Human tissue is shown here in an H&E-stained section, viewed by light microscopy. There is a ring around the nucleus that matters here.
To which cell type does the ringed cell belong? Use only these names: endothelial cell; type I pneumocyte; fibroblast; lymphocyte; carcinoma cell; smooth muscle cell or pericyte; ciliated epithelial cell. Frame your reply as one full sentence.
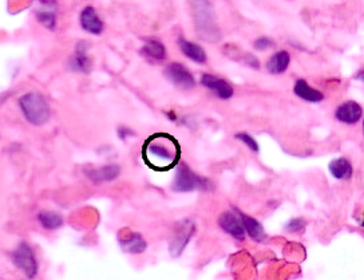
With respect to cell type, the ringed cell is an endothelial cell.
